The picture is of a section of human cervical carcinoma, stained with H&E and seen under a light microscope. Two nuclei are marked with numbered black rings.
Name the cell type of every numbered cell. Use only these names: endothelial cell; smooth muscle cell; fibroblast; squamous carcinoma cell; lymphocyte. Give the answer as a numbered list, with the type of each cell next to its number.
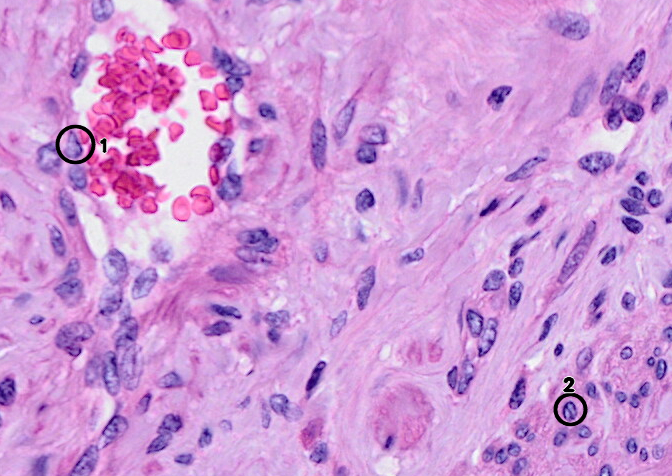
1. endothelial cell
2. smooth muscle cell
